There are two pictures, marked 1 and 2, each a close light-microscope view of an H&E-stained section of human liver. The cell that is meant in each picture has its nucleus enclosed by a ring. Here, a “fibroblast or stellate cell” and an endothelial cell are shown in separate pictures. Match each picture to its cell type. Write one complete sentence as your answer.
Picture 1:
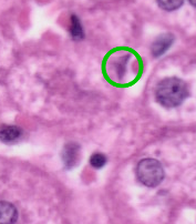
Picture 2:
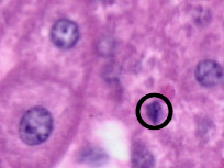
In picture 1 the cell is an endothelial cell; in picture 2, a “fibroblast or stellate cell”.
